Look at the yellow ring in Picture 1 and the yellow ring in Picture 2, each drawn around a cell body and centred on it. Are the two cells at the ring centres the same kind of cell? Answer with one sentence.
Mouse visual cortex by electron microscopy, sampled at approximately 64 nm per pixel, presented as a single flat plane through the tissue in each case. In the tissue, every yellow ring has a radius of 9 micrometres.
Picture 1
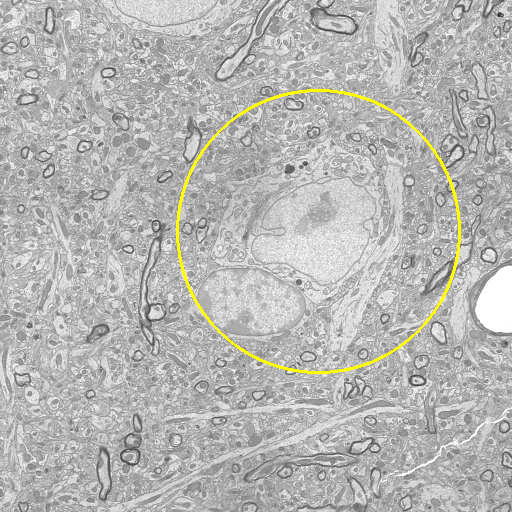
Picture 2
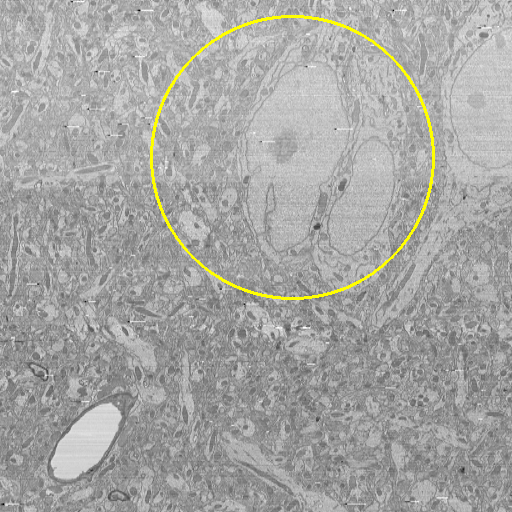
Yes, both are the same kind of cell.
